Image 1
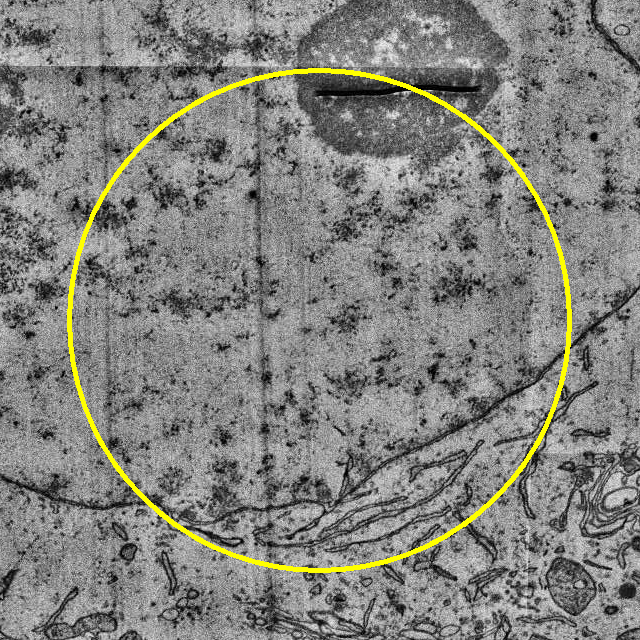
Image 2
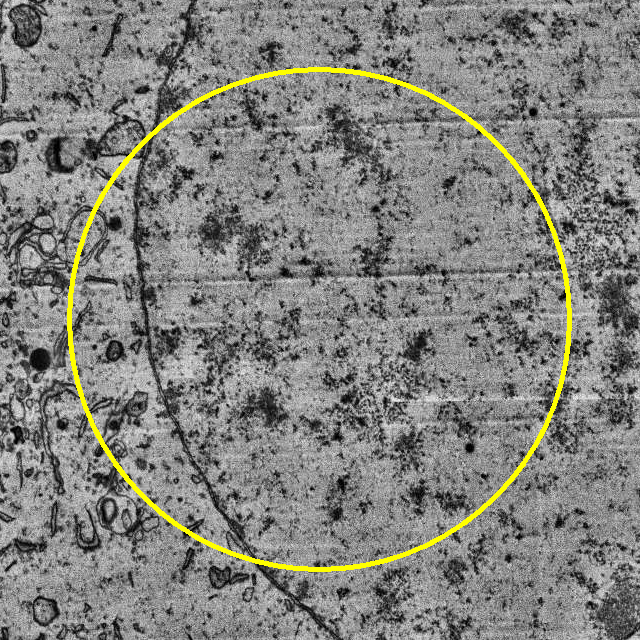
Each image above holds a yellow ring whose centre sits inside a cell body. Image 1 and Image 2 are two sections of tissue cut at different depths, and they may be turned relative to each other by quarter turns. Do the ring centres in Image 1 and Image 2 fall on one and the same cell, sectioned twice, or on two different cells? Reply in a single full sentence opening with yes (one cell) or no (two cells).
Yes, the two rings encircle a single cell, not a pair.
